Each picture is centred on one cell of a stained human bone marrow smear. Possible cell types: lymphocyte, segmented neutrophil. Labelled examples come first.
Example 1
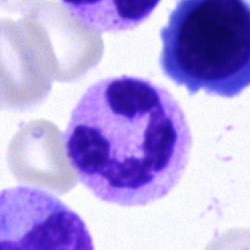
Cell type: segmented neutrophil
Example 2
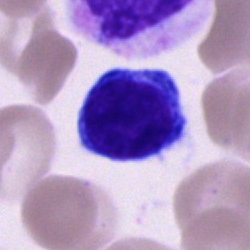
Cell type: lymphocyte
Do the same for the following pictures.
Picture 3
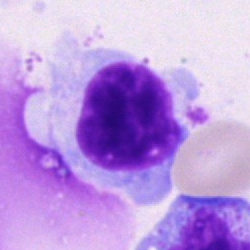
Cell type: lymphocyte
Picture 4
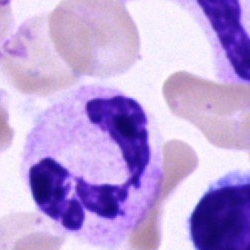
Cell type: segmented neutrophil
